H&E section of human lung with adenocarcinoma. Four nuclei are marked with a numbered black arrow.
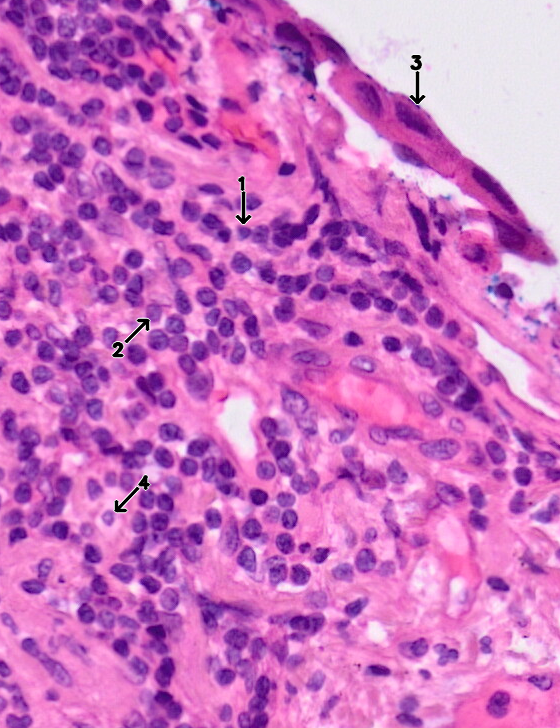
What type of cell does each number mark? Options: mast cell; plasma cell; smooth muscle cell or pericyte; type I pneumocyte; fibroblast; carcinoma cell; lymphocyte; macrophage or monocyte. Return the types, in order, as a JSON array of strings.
["lymphocyte", "lymphocyte", "carcinoma cell", "lymphocyte"]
